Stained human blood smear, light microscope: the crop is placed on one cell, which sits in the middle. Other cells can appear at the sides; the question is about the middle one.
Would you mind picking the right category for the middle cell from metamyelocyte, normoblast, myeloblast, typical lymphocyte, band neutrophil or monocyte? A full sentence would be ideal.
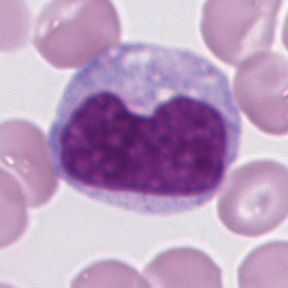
The center cell of this crop is a monocyte.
